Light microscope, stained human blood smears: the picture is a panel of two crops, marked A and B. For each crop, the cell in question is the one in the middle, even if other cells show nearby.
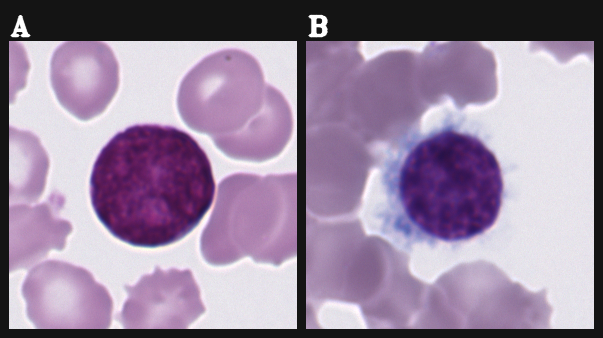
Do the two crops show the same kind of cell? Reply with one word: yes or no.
no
